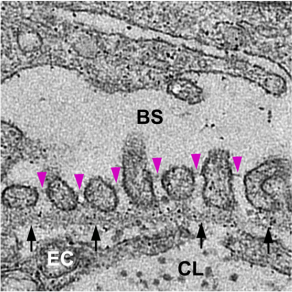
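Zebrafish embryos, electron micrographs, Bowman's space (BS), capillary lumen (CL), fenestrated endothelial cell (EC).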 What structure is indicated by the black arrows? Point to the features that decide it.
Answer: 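A thin grey band runs between the endothelial cytoplasm and the overlying rounded processes.
Hence: glomerular basement membrane.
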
